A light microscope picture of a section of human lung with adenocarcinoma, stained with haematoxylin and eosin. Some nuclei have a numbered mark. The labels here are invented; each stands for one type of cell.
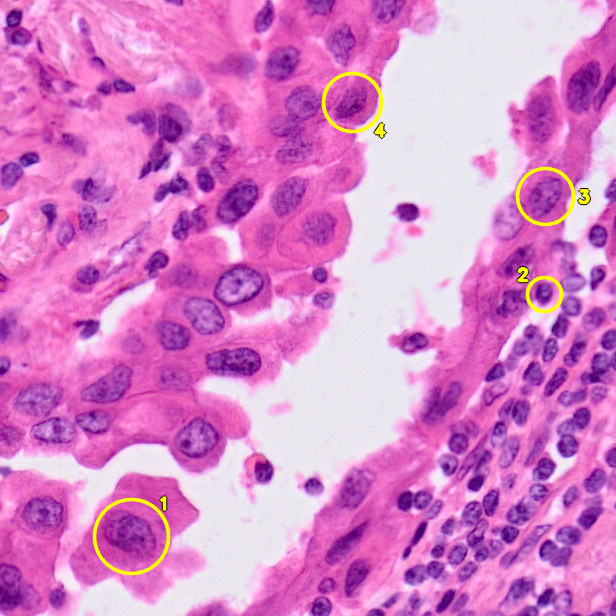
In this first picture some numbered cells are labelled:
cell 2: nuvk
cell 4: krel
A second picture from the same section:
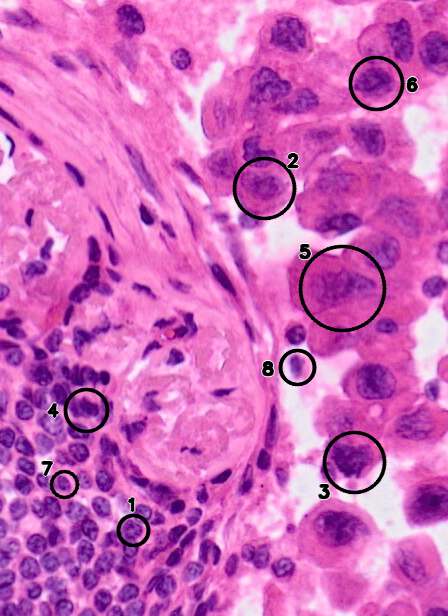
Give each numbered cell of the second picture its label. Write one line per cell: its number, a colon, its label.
1: nuvk
2: krel
3: krel
4: nuvk
5: krel
6: krel
7: nuvk
8: nuvk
